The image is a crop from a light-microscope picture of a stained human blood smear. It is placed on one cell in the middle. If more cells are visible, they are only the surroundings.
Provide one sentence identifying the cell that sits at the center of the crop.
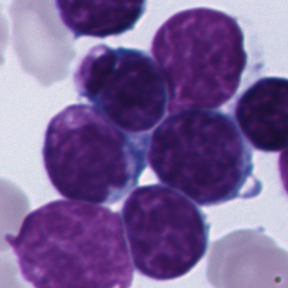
Answering briefly, the cell in the middle is a myeloblast.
